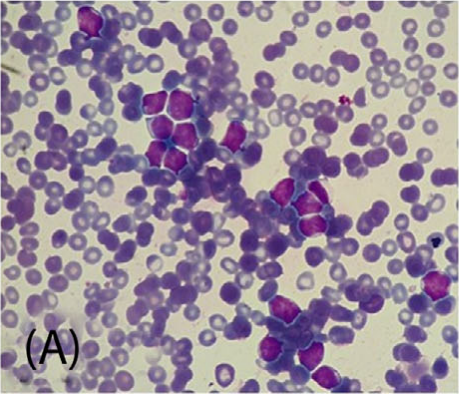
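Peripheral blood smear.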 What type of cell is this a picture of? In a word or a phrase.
lymphoblasts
